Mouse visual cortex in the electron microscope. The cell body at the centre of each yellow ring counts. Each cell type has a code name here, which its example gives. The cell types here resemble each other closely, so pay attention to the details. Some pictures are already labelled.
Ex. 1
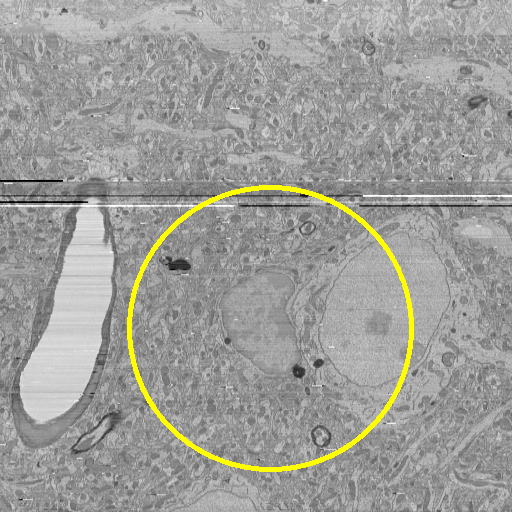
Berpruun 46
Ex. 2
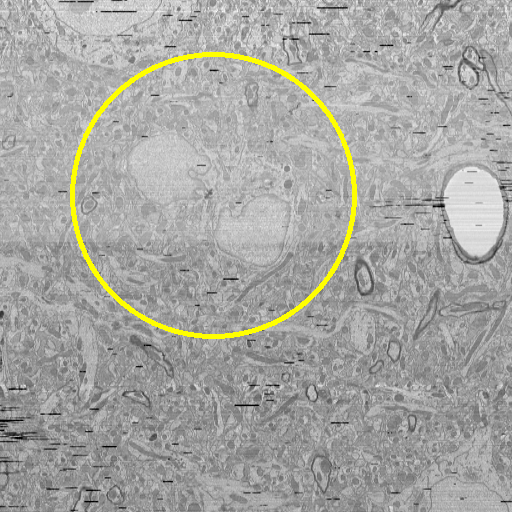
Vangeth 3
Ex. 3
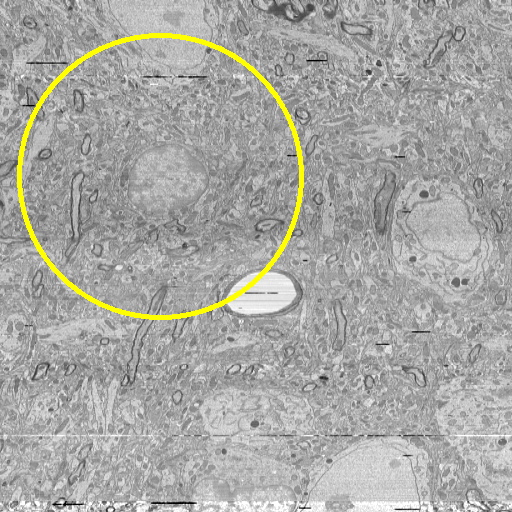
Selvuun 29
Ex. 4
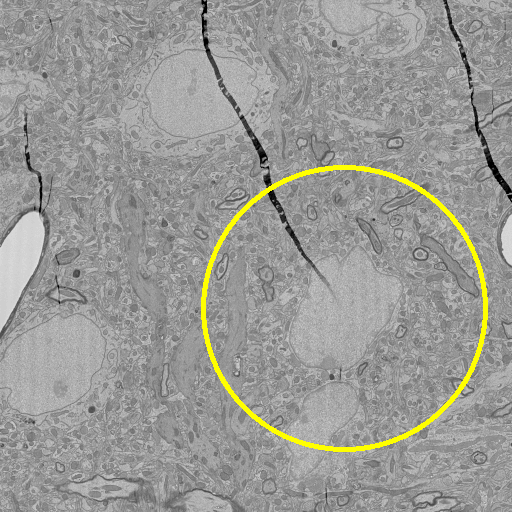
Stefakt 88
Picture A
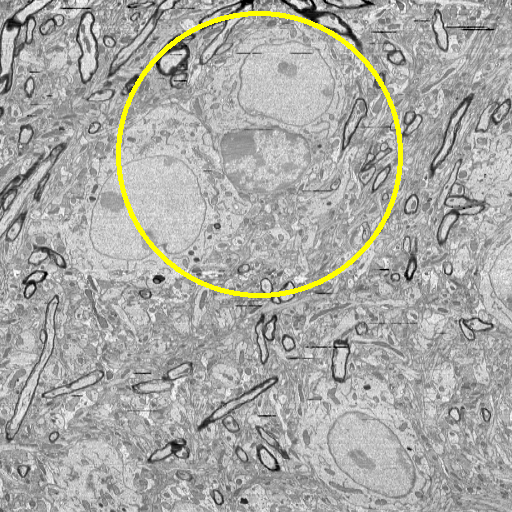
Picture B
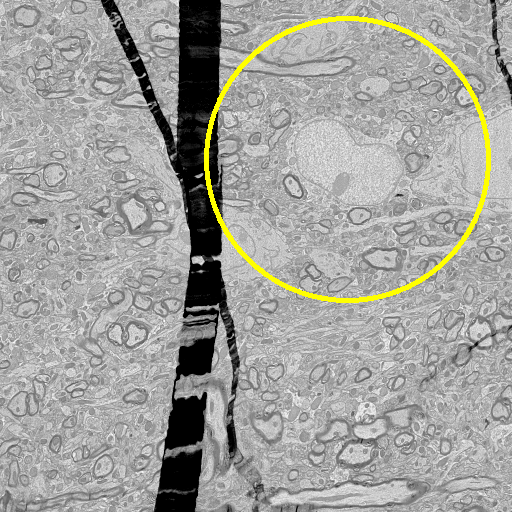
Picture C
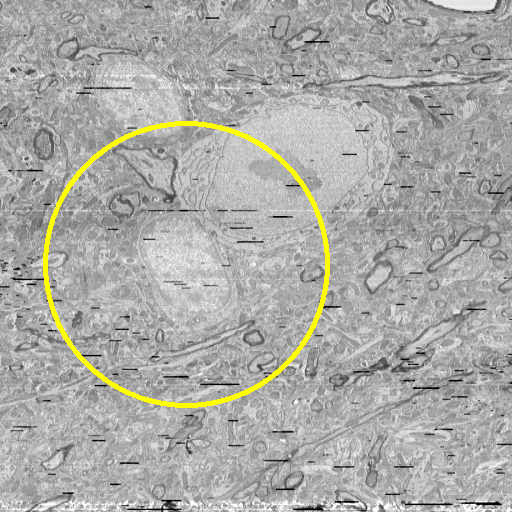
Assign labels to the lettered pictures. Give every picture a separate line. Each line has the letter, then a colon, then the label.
A: Selvuun 29
B: Stefakt 88
C: Selvuun 29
